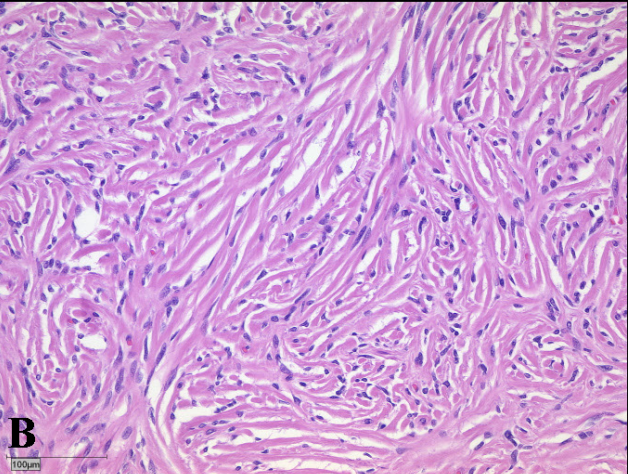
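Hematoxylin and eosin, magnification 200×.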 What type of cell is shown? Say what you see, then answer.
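Cells have elongated, tapering nuclei. Cells lie between thick pink collagen bundles. Cytoplasm is scant and pale pink.
Hence: spindle-shaped fibroblastic cells.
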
